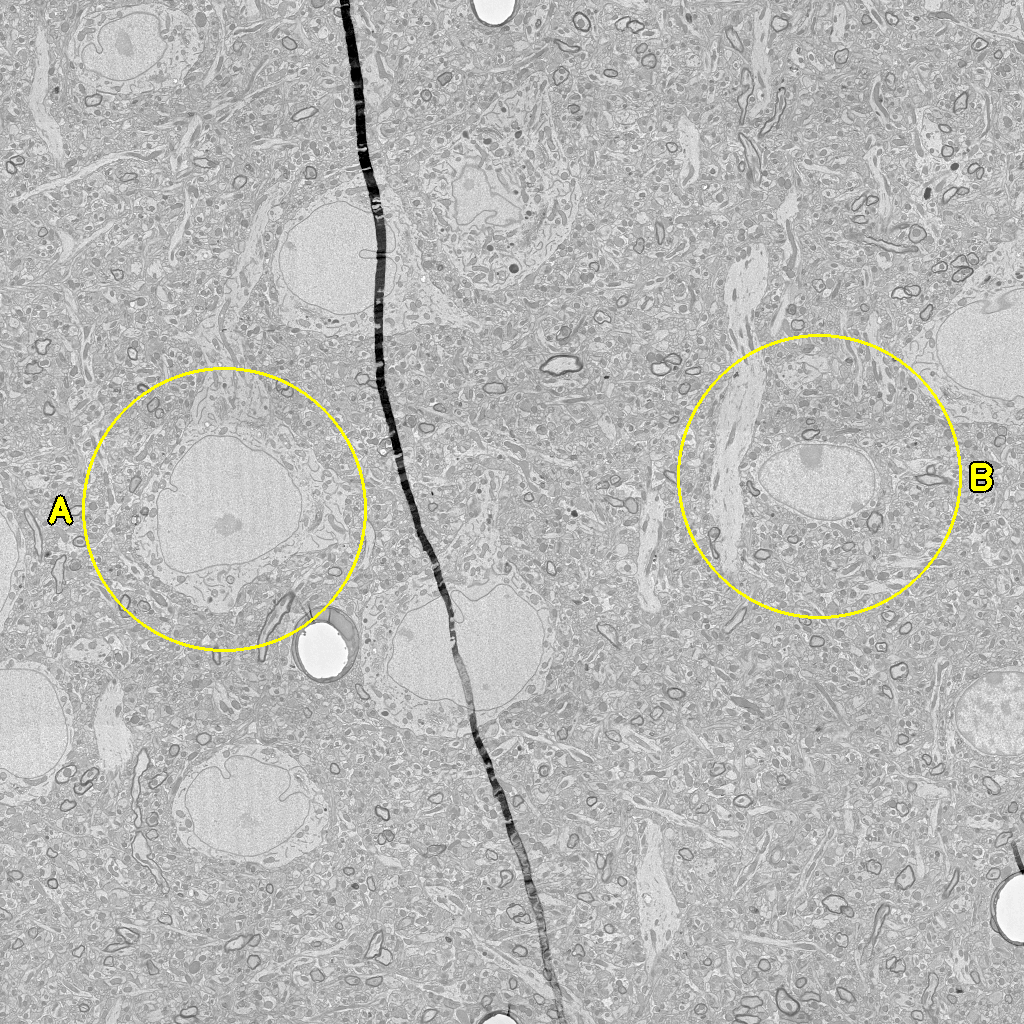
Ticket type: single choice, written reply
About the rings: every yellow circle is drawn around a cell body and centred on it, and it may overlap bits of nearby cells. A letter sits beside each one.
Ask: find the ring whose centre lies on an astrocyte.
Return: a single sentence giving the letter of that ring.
At the centre of the ring marked B lies the cell asked for.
